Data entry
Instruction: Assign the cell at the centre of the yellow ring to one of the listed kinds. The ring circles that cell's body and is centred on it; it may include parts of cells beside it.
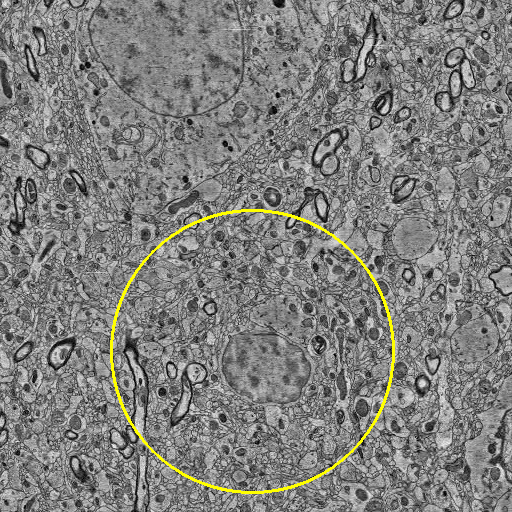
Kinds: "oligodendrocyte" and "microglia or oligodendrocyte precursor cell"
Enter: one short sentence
The centre of the ring falls on an oligodendrocyte.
